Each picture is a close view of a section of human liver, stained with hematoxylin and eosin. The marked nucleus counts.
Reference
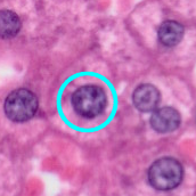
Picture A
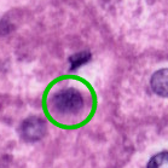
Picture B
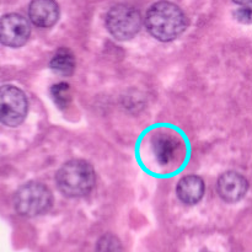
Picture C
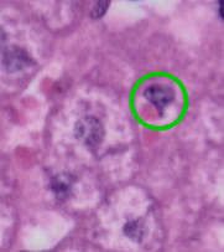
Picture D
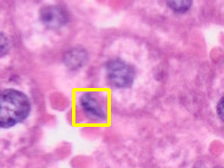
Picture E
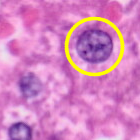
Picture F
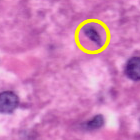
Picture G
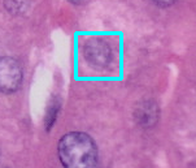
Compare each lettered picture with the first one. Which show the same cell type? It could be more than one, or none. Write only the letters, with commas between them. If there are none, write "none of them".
E, G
